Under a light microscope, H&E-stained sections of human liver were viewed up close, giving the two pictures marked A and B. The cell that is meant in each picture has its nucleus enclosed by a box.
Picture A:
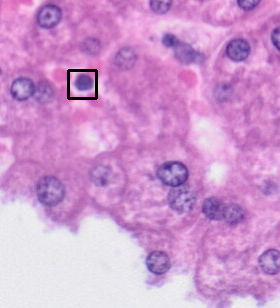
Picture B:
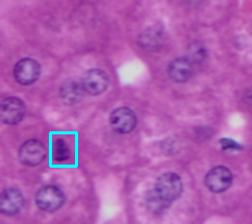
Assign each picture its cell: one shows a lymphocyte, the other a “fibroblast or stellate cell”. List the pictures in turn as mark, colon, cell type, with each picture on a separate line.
A: lymphocyte
B: fibroblast or stellate cell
